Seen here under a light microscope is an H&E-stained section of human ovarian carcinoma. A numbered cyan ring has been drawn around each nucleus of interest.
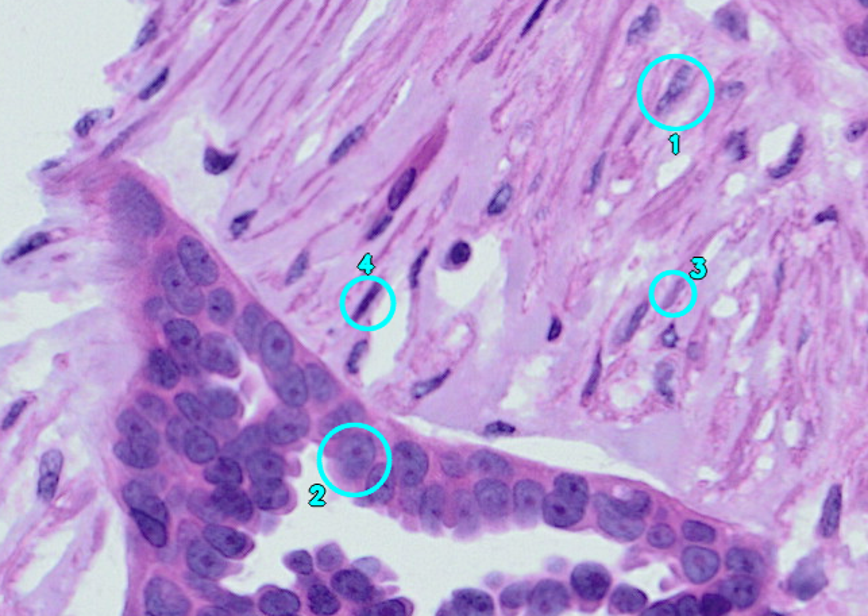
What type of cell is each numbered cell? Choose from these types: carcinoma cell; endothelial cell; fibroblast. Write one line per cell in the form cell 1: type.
cell 1: fibroblast
cell 2: carcinoma cell
cell 3: fibroblast
cell 4: fibroblast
